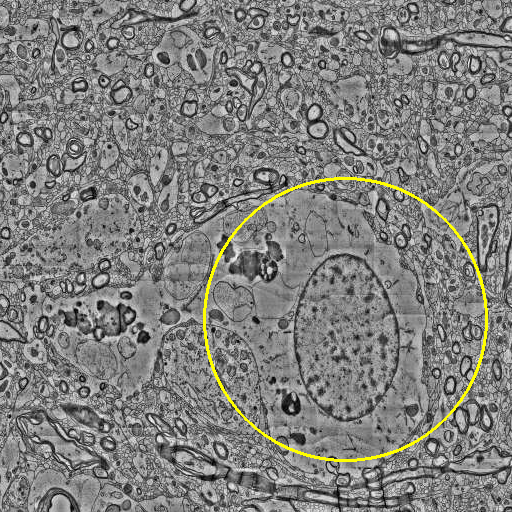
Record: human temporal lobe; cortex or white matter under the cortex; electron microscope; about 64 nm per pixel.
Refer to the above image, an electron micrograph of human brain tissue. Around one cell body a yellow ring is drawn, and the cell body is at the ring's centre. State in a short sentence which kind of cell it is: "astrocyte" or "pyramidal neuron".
The centre of the ring falls on an astrocyte.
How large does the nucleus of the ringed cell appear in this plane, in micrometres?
At approximately 11 by 7 micrometres, the nucleus is clearly longer than it is wide in this plane.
